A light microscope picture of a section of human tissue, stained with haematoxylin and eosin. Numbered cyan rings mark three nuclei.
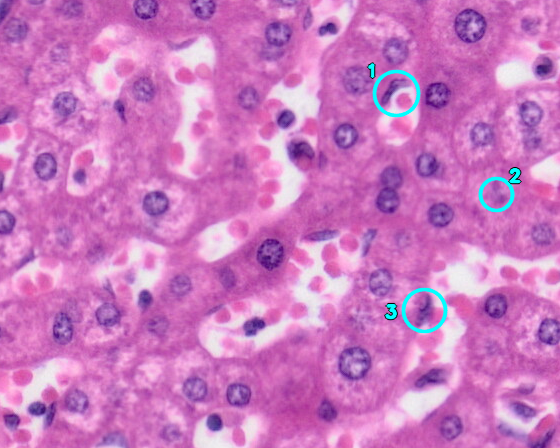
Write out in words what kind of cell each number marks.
Cells 1 and 3 are endothelial cells. Cell 2 is a hepatocyte.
